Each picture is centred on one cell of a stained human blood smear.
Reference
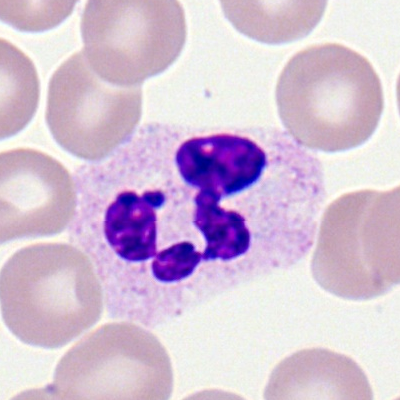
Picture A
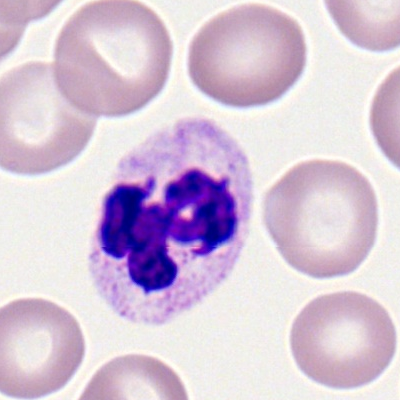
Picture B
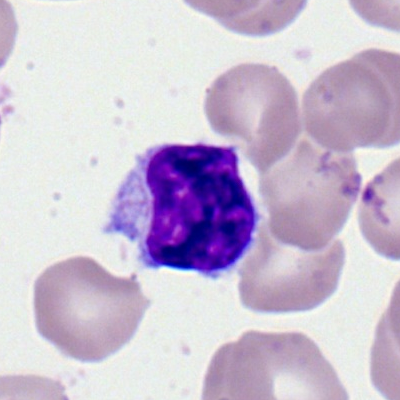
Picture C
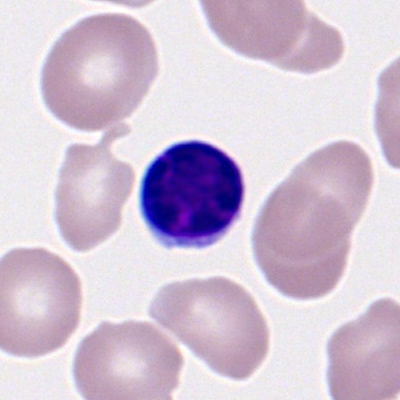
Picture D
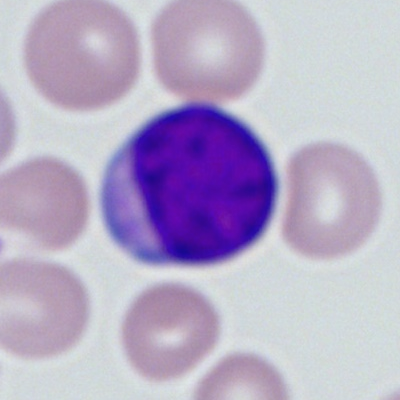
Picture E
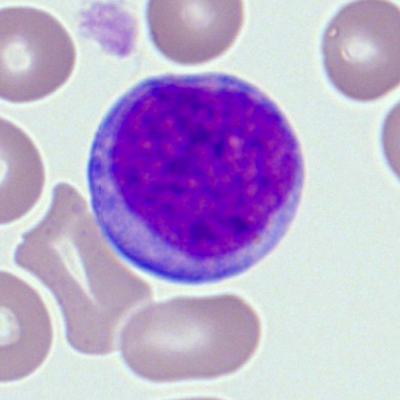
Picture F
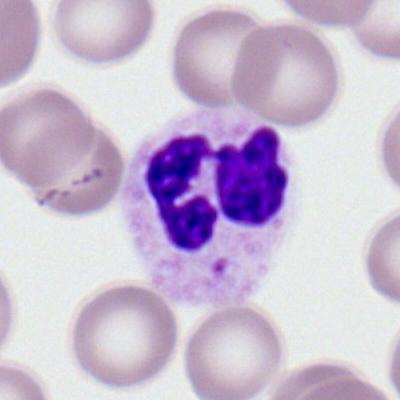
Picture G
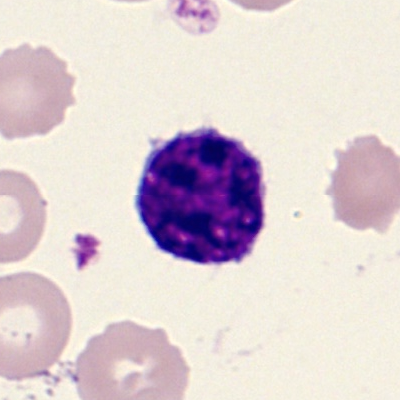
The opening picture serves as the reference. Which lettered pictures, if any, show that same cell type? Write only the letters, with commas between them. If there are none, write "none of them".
A, F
